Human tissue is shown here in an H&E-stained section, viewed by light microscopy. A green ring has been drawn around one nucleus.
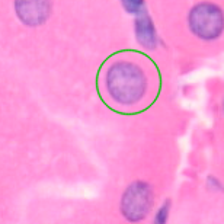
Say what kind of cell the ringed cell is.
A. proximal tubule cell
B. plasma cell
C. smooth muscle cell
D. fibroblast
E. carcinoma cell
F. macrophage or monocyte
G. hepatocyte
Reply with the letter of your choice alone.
A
